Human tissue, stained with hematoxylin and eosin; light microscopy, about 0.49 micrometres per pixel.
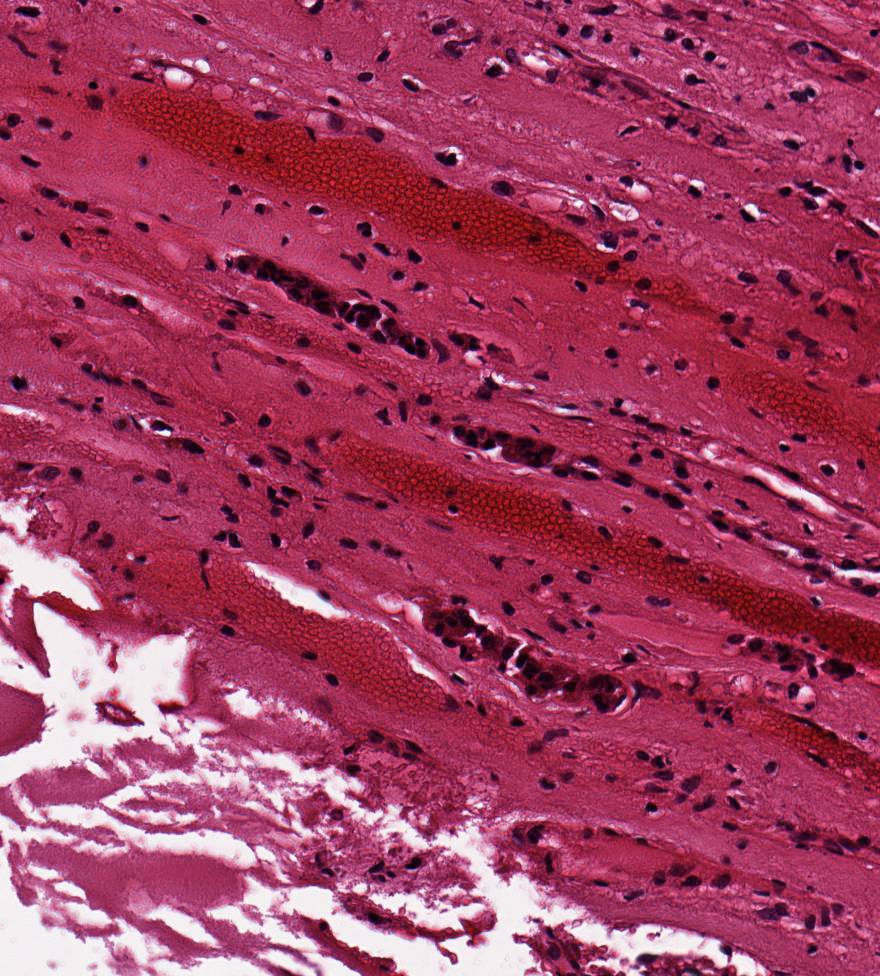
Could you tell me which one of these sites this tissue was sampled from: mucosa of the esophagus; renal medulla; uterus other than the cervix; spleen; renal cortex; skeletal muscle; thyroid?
renal medulla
